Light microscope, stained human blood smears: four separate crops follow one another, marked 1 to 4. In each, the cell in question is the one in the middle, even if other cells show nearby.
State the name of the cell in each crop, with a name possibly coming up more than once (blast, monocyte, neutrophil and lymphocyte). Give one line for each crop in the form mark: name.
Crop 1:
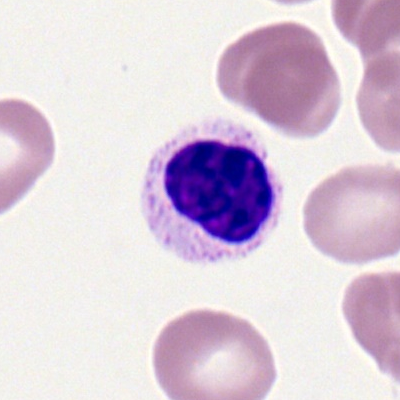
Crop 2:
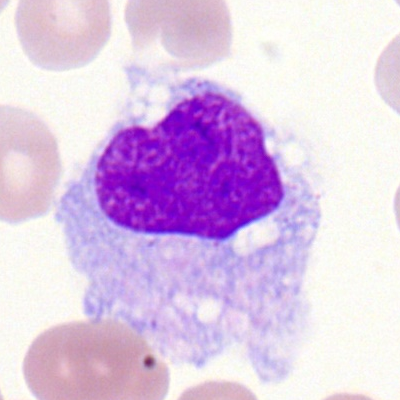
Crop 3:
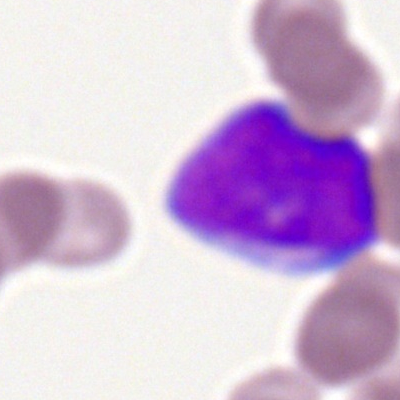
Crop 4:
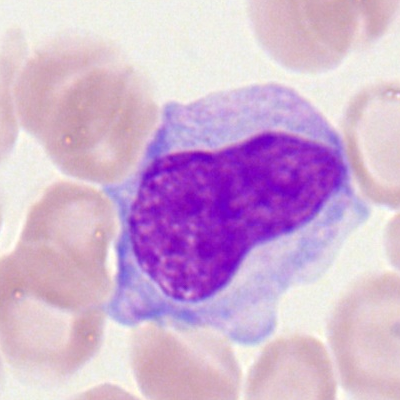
1: neutrophil
2: monocyte
3: blast
4: monocyte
